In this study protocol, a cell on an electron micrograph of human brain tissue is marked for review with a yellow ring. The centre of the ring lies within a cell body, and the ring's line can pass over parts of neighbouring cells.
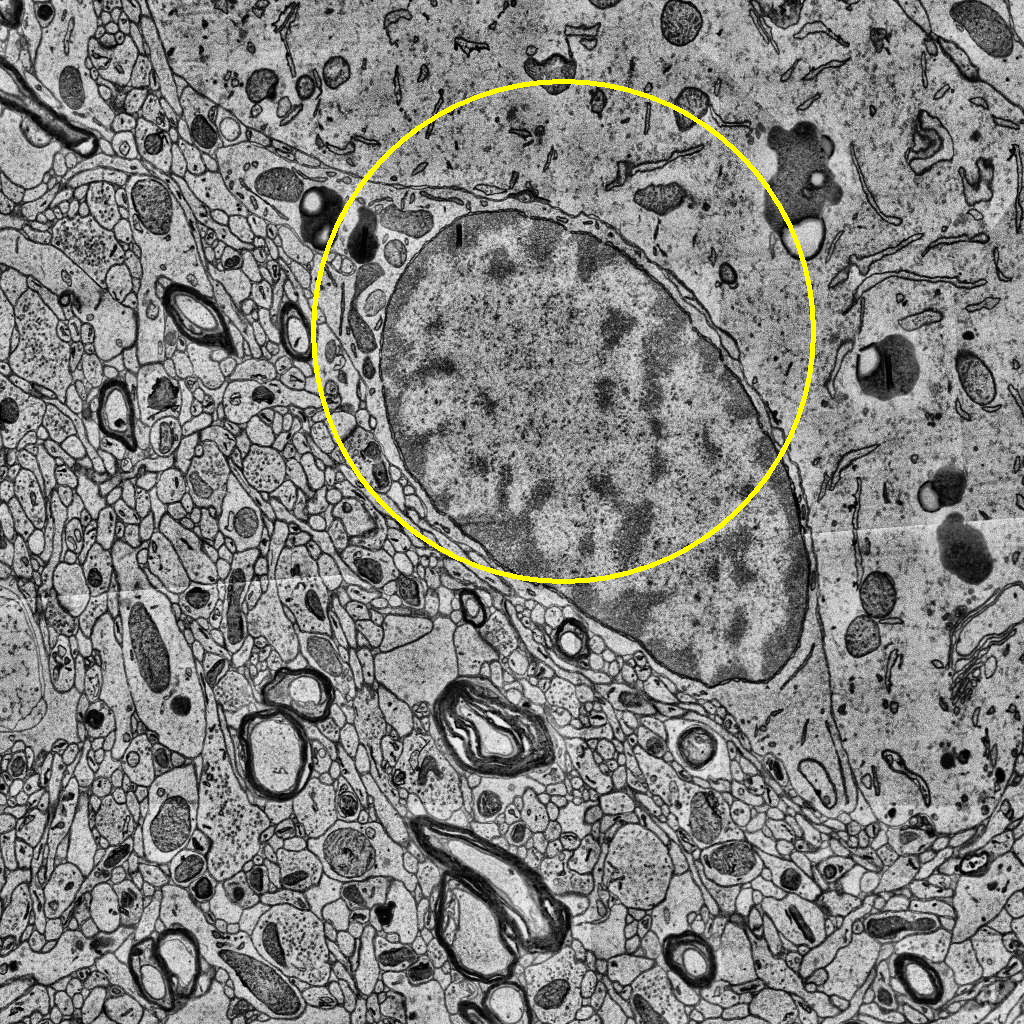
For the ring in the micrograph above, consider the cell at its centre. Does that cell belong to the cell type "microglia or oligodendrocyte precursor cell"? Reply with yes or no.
yes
